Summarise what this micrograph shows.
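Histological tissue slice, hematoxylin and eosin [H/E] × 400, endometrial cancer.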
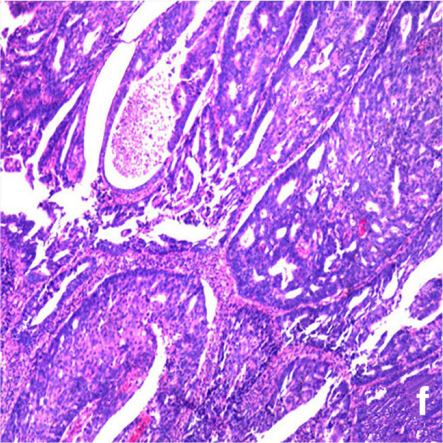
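Tumor tissue in which the tumor cells form closely packed gland-like structures, stained purple and pink. The glands are lined by crowded columnar epithelial cells with dark purple, elongated nuclei, several cells deep in places. Thin bands of pale pink stroma separate the glands, and the glandular lumens are mostly empty white spaces, one of them filled with pale pink material.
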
